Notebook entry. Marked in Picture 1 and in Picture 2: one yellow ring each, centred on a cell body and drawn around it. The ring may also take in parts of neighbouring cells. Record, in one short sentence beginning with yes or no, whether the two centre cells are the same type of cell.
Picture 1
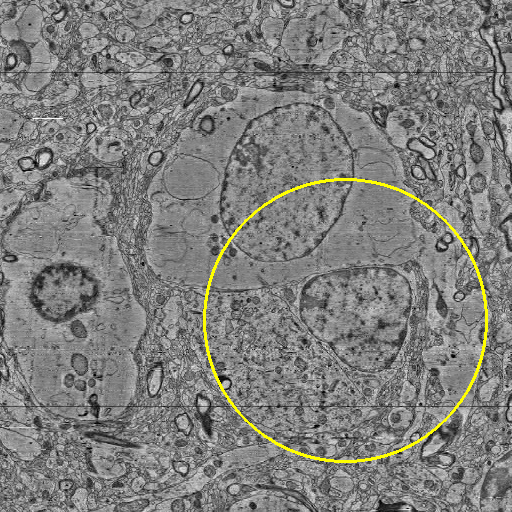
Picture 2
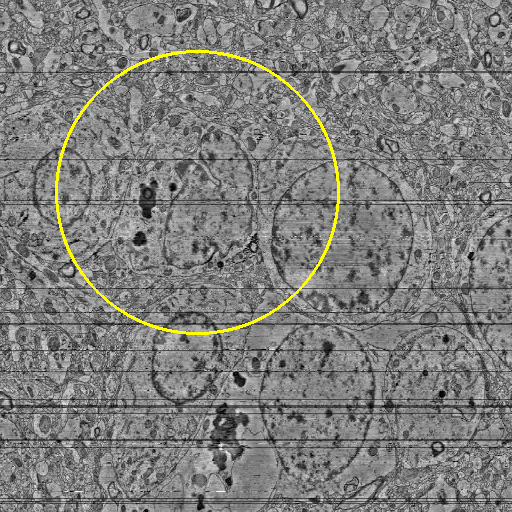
No, they are two types of cell.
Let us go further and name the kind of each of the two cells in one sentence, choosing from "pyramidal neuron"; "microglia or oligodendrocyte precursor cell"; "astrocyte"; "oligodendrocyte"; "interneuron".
The ring of the first picture is on a microglial cell or oligodendrocyte precursor cell, the ring of the second on an interneuron.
